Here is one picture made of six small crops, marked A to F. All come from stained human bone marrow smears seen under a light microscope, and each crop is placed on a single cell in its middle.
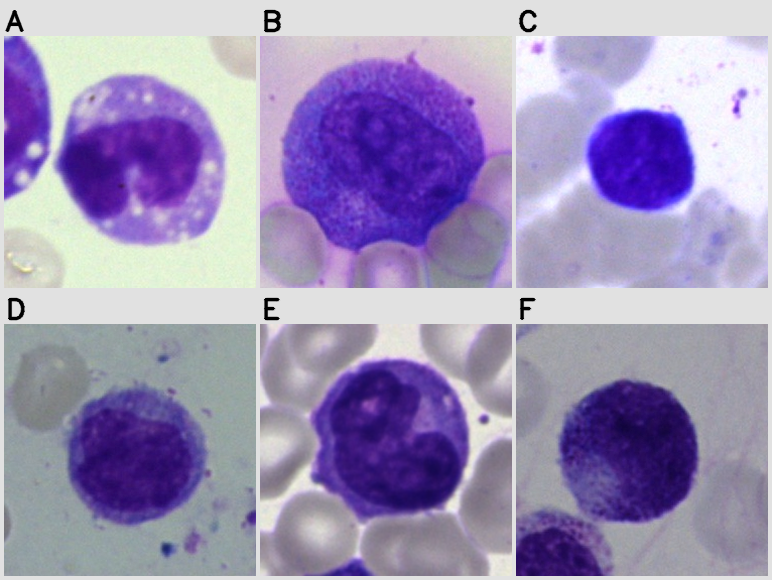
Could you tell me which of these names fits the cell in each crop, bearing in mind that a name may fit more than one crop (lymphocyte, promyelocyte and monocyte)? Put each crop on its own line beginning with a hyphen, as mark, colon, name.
- A: monocyte
- B: promyelocyte
- C: lymphocyte
- D: monocyte
- E: monocyte
- F: promyelocyte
